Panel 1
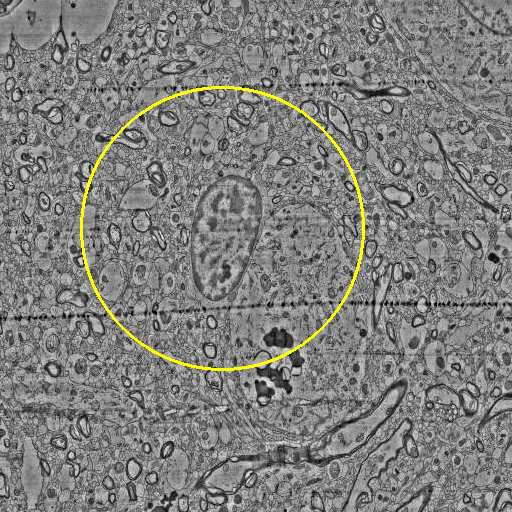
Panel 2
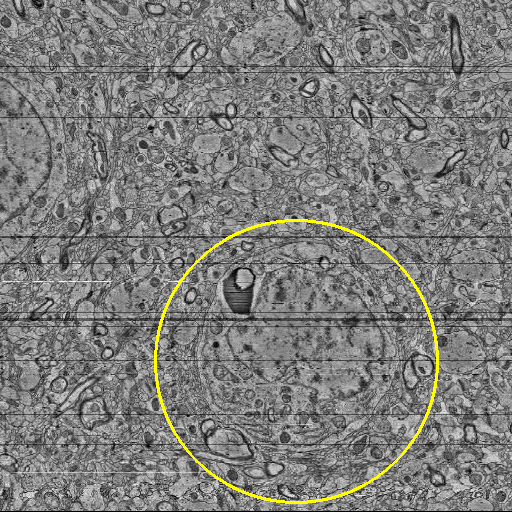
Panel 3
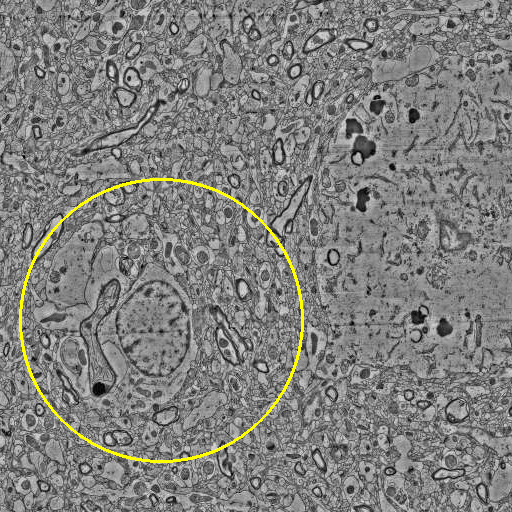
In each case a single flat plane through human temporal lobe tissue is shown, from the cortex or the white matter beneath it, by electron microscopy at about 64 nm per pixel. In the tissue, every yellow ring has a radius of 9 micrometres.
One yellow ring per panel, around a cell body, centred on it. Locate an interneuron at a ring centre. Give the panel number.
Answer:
2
